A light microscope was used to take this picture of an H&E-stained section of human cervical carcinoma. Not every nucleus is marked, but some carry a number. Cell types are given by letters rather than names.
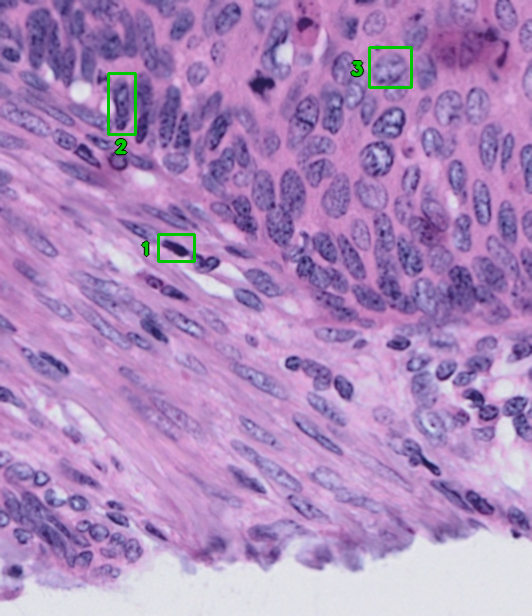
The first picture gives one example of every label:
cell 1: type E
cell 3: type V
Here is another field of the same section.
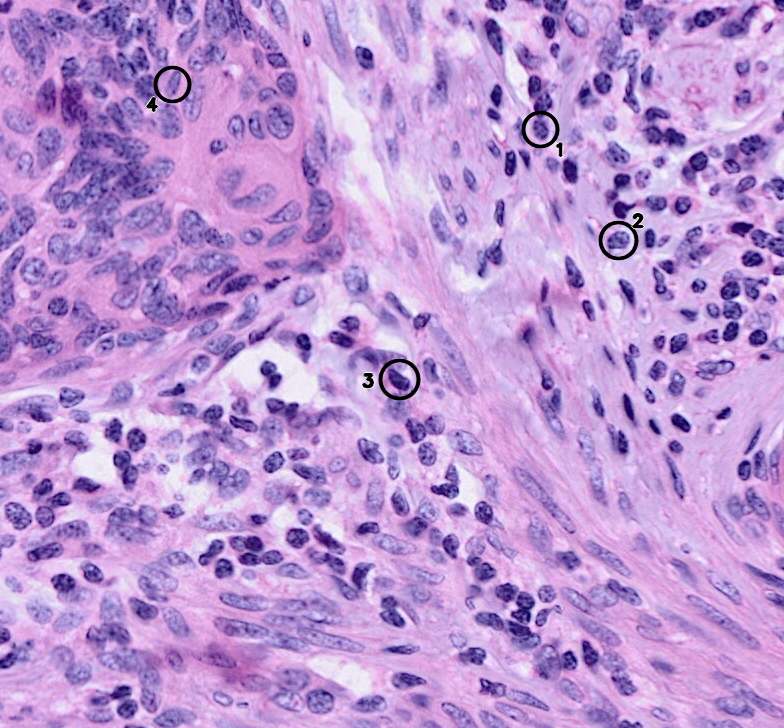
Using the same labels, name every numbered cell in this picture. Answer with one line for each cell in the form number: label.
1: type E
2: type E
3: type E
4: type V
